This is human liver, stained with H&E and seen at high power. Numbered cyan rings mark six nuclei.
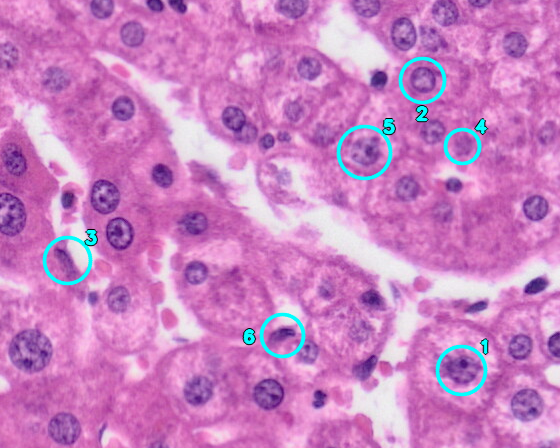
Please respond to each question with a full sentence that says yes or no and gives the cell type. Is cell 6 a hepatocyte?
No, the cell under number 6 is a Kupffer cell instead of a hepatocyte.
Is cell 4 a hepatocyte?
Yes, it checks out; the cell labelled 4 is a hepatocyte.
